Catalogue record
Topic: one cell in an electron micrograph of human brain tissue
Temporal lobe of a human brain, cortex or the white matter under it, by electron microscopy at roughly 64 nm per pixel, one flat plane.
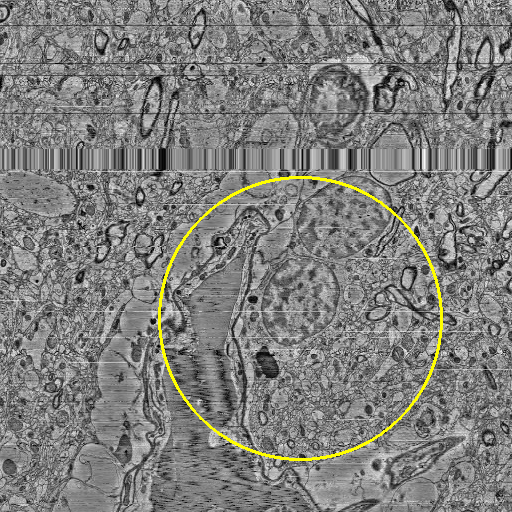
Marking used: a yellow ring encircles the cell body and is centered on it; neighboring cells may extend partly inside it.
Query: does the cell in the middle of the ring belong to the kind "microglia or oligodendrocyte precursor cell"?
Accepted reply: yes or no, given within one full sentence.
No, the cell centered in the ring in the picture is of another kind.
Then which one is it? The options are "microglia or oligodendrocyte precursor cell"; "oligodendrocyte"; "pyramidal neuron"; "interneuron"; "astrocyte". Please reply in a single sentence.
The cell this ring marks is an oligodendrocyte.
